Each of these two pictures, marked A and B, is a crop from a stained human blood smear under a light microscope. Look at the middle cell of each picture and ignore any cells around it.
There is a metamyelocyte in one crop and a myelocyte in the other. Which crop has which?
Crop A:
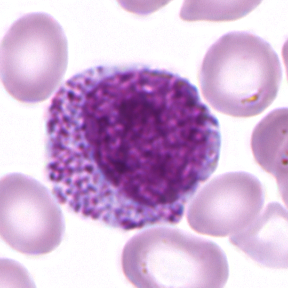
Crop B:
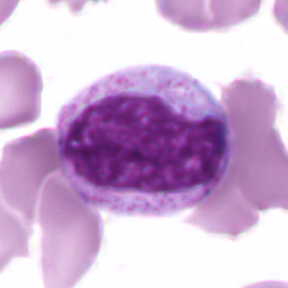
A: myelocyte
B: metamyelocyte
